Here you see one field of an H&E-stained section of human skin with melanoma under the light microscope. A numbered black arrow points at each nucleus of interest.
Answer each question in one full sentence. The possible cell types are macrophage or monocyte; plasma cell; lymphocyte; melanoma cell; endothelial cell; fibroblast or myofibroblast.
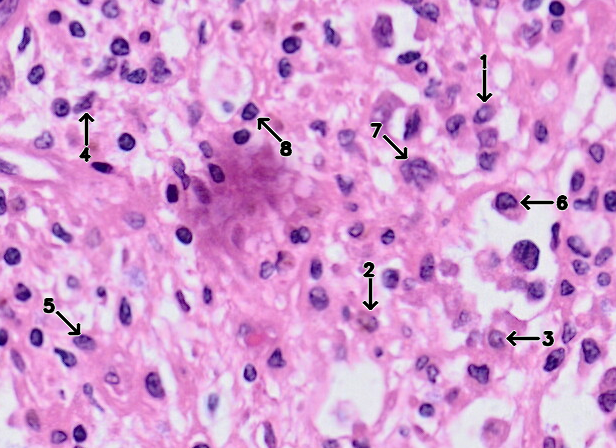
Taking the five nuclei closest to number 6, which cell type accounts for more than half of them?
The majority of the five nuclei closest to number 6 belong to melanoma cells.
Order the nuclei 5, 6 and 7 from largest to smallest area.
Going from the biggest nucleus down to the smallest gives 7, 6, 5.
